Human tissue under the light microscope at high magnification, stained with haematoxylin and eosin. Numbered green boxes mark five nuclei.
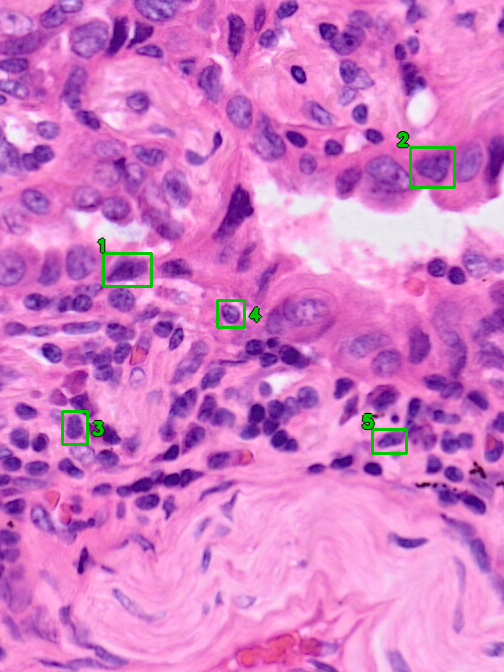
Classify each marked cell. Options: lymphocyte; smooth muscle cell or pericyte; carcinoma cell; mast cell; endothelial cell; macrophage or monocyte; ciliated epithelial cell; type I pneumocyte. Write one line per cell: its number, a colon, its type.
1: carcinoma cell
2: carcinoma cell
3: lymphocyte
4: lymphocyte
5: lymphocyte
